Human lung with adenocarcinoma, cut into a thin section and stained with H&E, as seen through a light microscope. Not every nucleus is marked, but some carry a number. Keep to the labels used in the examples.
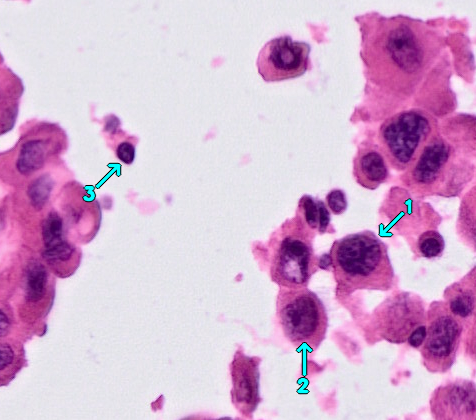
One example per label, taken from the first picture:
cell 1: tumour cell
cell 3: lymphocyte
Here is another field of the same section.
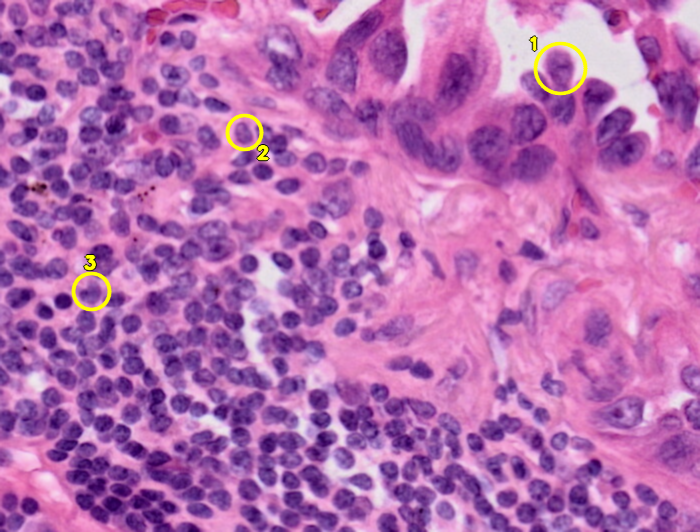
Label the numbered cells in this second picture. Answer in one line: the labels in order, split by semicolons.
tumour cell; lymphocyte; lymphocyte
